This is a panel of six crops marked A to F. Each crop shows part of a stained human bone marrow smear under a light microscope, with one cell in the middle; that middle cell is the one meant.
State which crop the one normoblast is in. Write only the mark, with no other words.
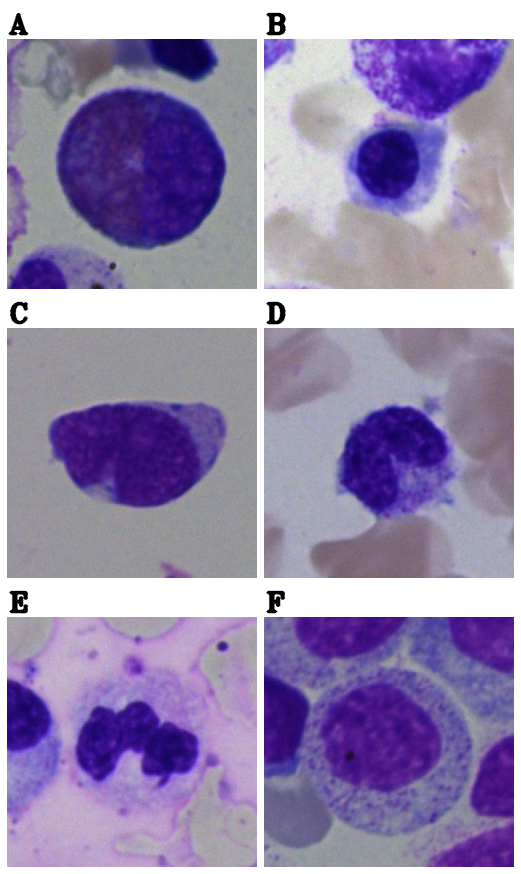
B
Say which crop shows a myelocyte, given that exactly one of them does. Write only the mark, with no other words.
F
